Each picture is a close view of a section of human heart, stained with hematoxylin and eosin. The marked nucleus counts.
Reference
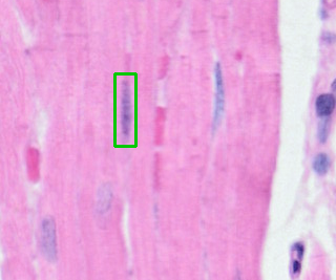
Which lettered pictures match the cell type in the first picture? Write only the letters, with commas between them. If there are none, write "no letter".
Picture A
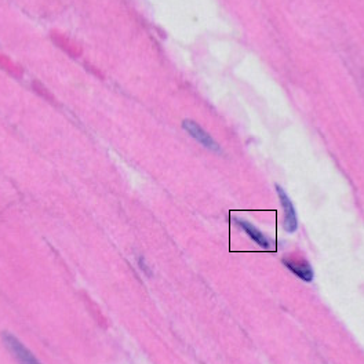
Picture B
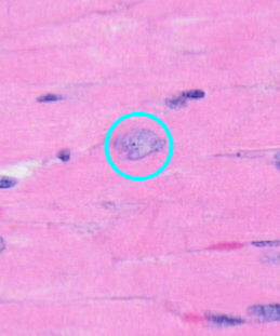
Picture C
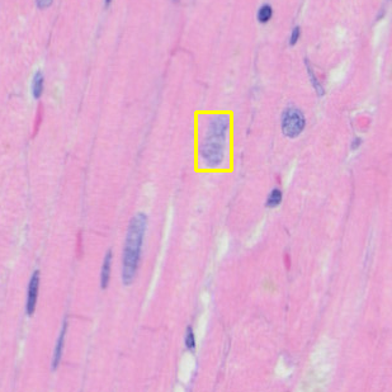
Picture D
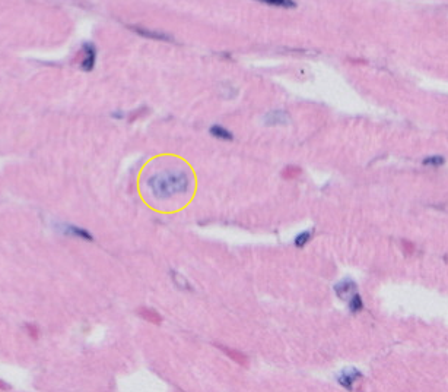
A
